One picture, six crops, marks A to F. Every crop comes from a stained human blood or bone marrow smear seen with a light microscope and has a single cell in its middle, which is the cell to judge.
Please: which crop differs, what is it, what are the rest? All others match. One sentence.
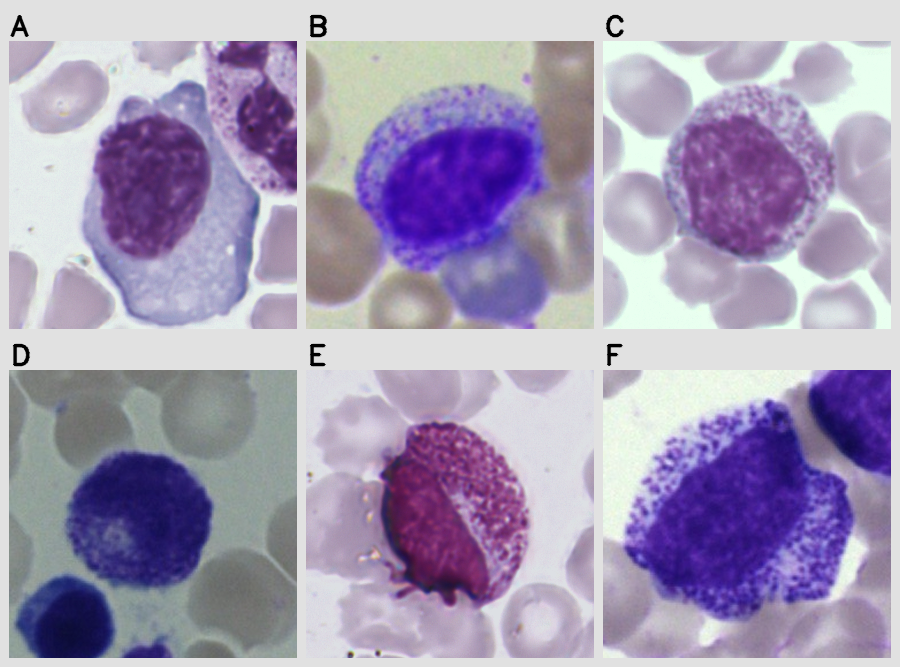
Although the other crops all show myelocytes, crop A shows a plasma cell.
